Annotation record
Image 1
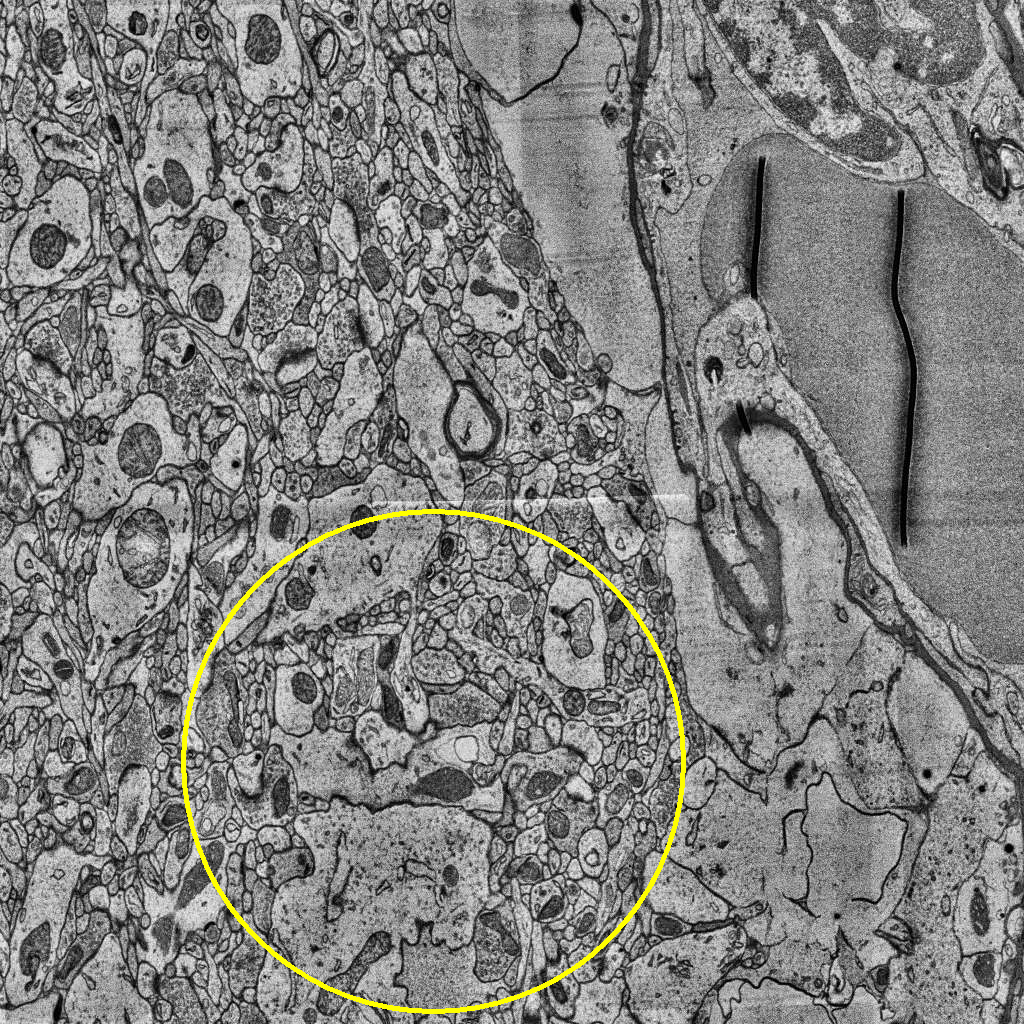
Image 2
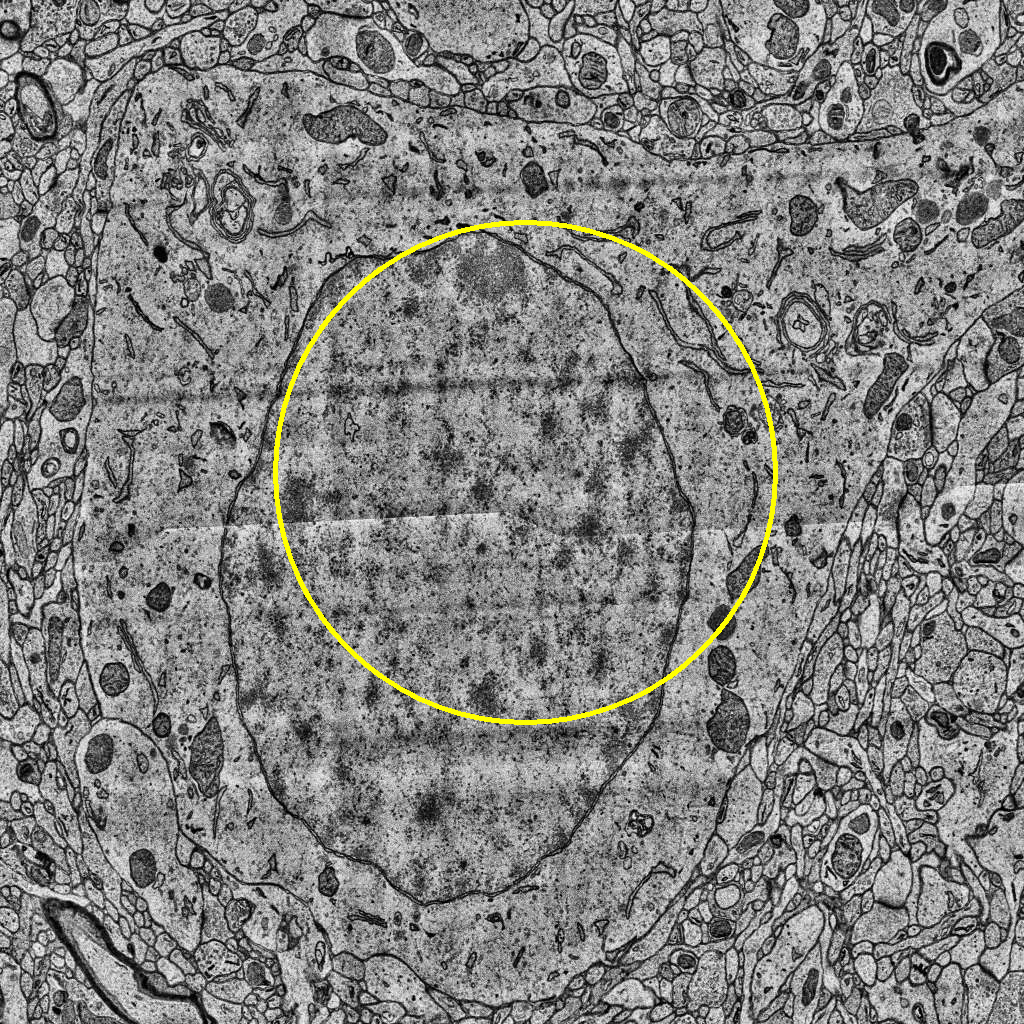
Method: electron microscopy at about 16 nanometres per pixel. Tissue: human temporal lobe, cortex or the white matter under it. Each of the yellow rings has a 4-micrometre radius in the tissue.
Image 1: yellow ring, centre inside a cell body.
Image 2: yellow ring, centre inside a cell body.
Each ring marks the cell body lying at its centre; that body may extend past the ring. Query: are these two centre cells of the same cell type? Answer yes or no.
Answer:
no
